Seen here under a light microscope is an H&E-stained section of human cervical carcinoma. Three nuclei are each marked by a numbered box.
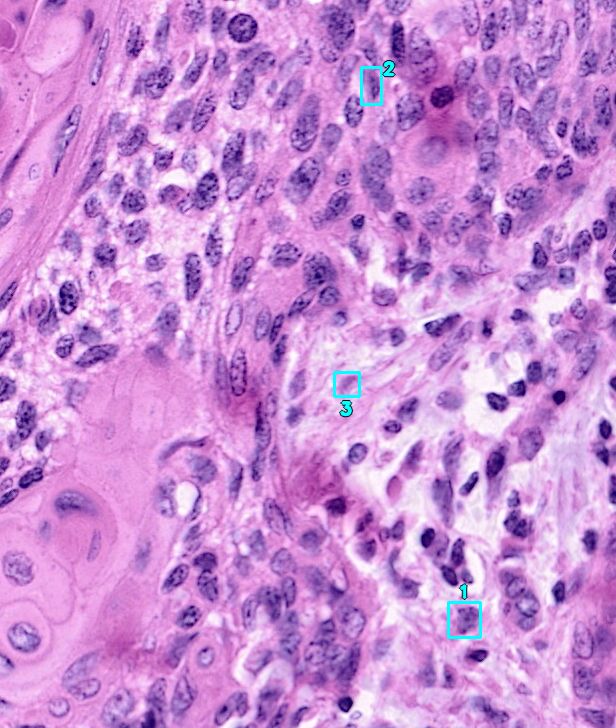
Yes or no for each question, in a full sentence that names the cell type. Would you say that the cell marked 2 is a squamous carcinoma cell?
Yes, the numbered cell 2 is a squamous carcinoma cell.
